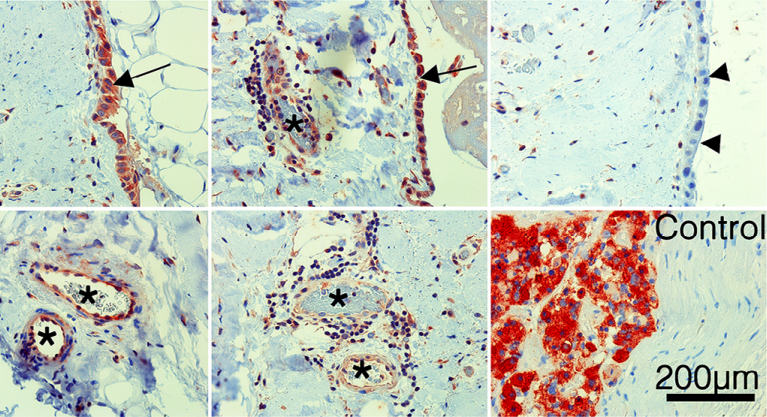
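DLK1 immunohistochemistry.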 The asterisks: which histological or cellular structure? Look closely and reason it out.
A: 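Vasculature. The asterisks sit in round lumens surrounded by thin cellular walls. The inner lining of these lumens is stained brown-red. Blood cells are visible inside some lumens.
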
